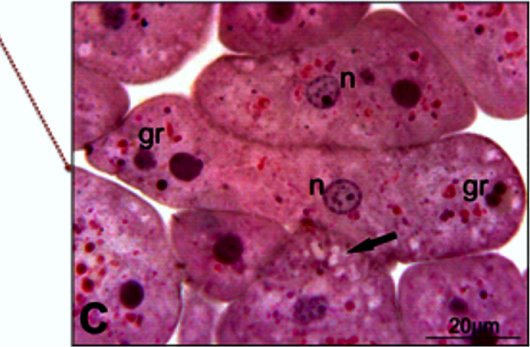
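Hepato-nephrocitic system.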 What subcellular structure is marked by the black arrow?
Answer: Intracytoplasmatic vacuoles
